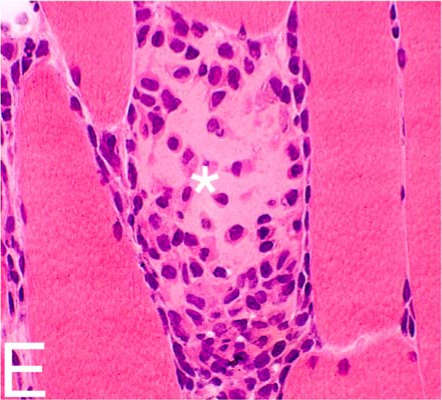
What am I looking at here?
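Skeletal muscle fibers in section, with one necrotic fiber infiltrated by inflammatory cells. The central fiber has lost its evenly pink cytoplasm; what remains is pale and wispy, and it is packed with many small, dark purple, round to oval nuclei, densest toward its lower part. On either side lie intact muscle fibers with homogeneous pink cytoplasm and a few flattened nuclei at their edges. Thin pale strands of connective tissue separate the fibers, and elongated nuclei lie along them.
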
